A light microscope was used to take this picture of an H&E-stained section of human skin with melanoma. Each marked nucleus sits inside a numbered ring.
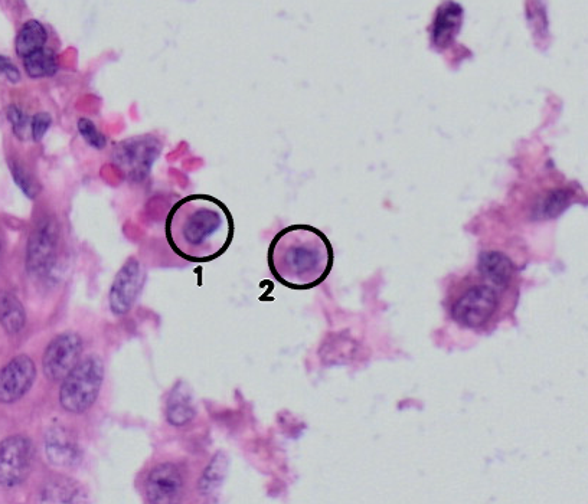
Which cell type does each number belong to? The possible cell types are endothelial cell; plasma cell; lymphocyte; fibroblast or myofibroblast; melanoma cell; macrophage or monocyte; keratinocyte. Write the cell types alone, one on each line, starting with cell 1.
melanoma cell
macrophage or monocyte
